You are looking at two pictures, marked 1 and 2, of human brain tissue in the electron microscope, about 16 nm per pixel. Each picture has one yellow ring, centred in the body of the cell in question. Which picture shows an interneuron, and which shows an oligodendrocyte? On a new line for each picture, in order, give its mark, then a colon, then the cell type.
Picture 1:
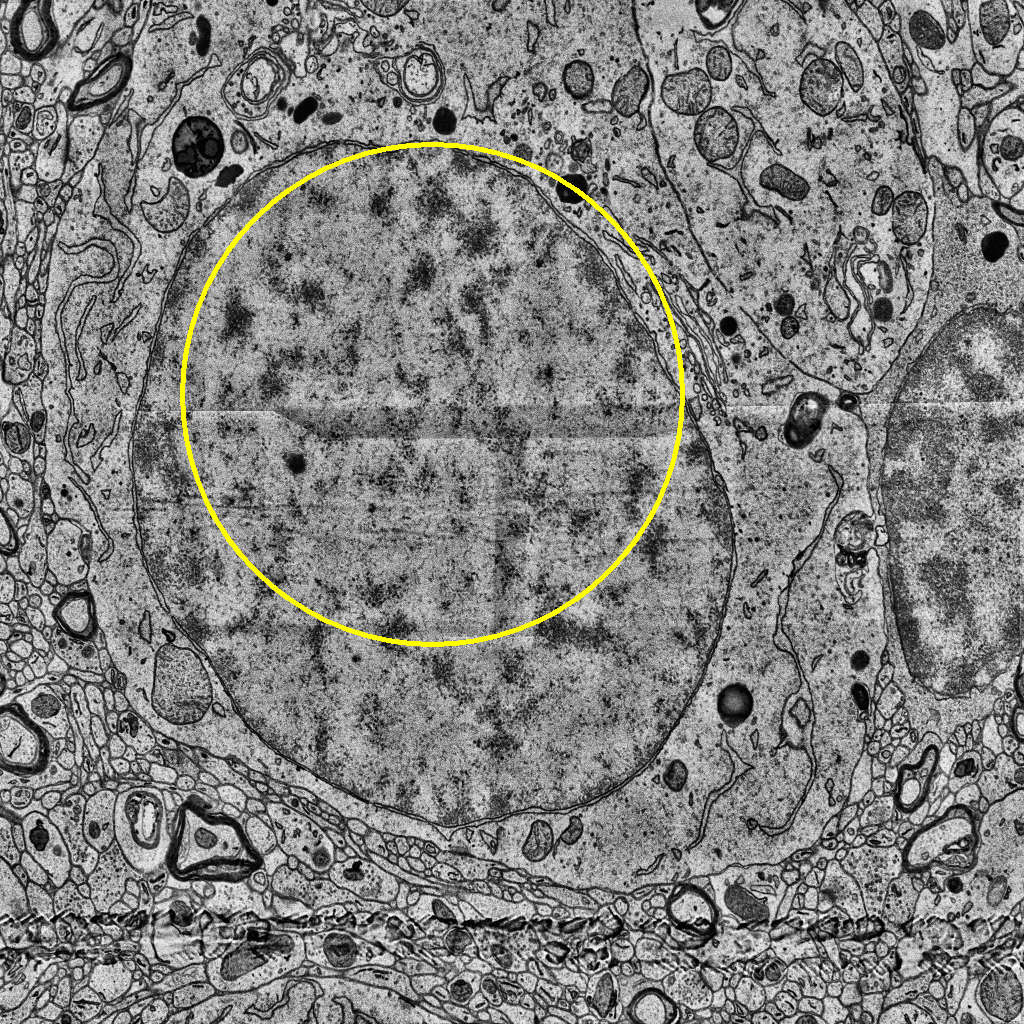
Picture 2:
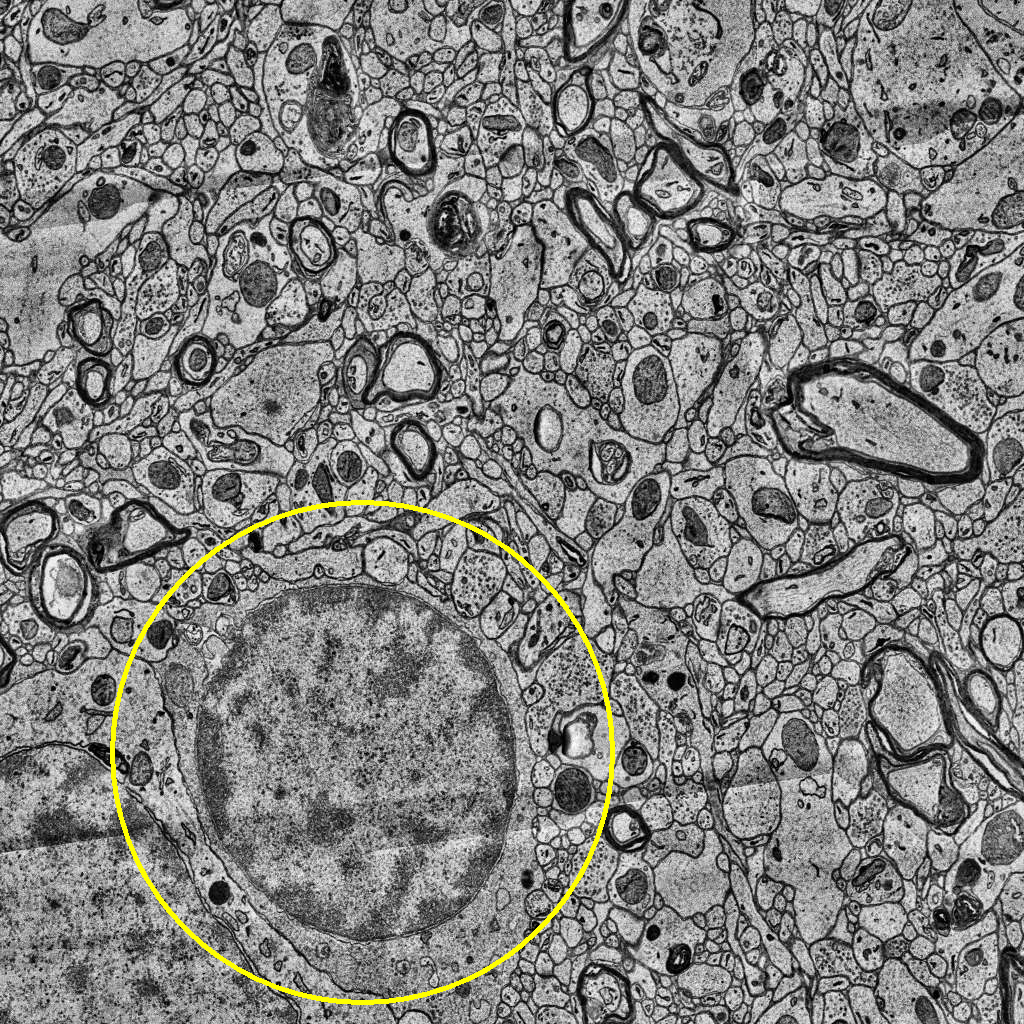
1: interneuron
2: oligodendrocyte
